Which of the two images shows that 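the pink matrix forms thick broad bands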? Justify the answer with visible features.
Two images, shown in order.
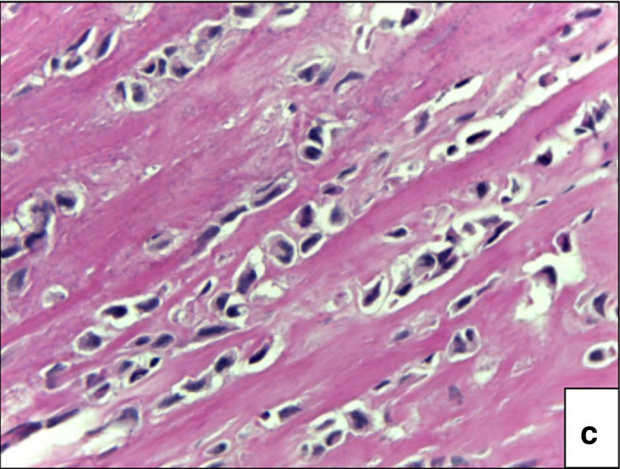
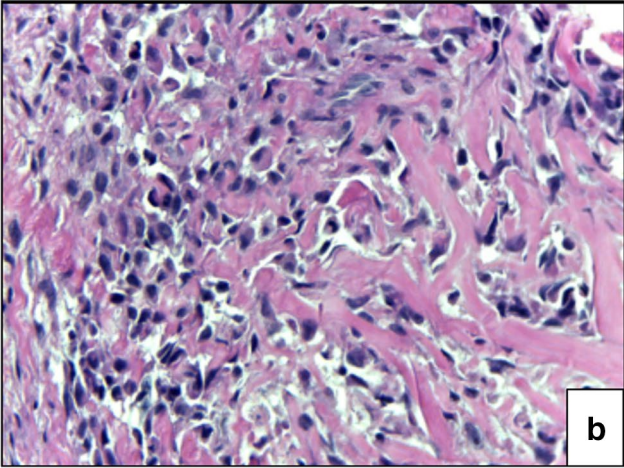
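The first image. First image: wide parallel bands of dense pink matrix fill much of the field.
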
